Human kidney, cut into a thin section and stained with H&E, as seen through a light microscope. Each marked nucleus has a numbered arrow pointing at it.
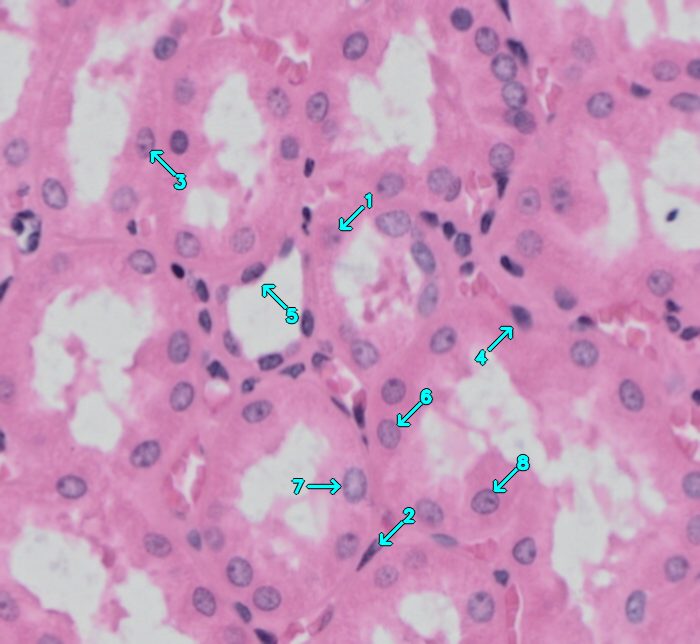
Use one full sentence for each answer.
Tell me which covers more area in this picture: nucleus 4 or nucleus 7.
Nucleus 7 covers more area, about 1.5 times as much as nucleus 4.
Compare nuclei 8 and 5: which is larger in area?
At about 1.5 times the area of nucleus 5, nucleus 8 is the larger of the two.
